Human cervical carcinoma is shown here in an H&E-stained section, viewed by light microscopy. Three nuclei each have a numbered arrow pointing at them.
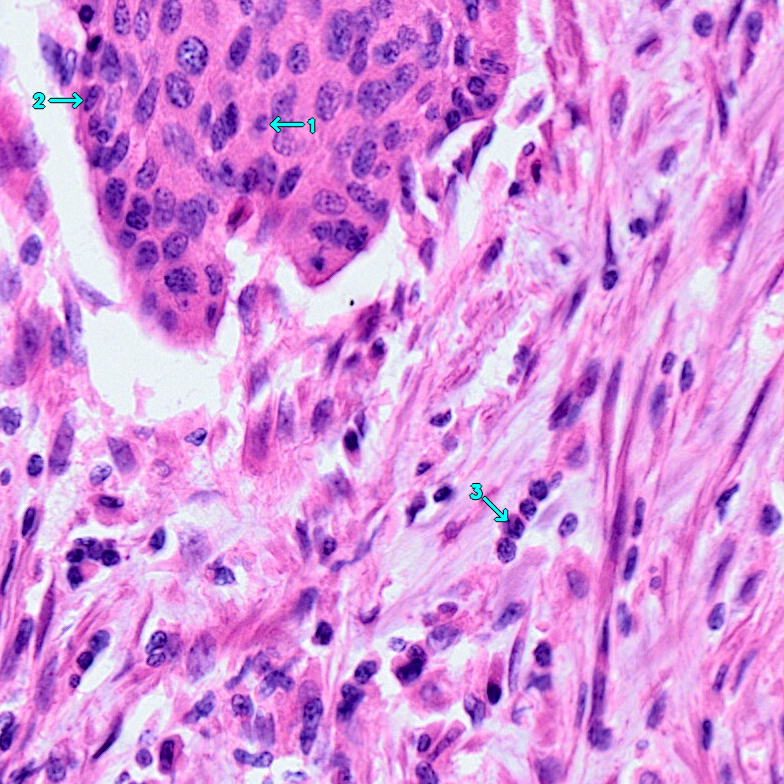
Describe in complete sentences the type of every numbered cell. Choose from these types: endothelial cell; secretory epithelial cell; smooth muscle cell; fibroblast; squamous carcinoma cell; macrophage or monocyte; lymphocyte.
Cell 1 is a squamous carcinoma cell, cell 2 is a squamous carcinoma cell and cell 3 is a lymphocyte.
